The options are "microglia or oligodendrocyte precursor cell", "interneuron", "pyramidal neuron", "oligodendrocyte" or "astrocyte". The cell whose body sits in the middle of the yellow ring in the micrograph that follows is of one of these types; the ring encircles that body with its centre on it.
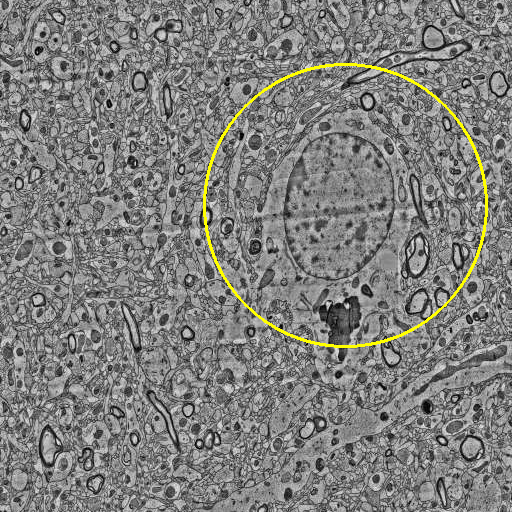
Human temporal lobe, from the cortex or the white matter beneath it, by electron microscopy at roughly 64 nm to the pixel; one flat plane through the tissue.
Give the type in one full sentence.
Going by the micrograph, the cell centred in the yellow ring is an astrocyte.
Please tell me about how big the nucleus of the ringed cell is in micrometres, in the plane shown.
The nucleus comes to roughly 9 by 7 micrometres in this plane.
